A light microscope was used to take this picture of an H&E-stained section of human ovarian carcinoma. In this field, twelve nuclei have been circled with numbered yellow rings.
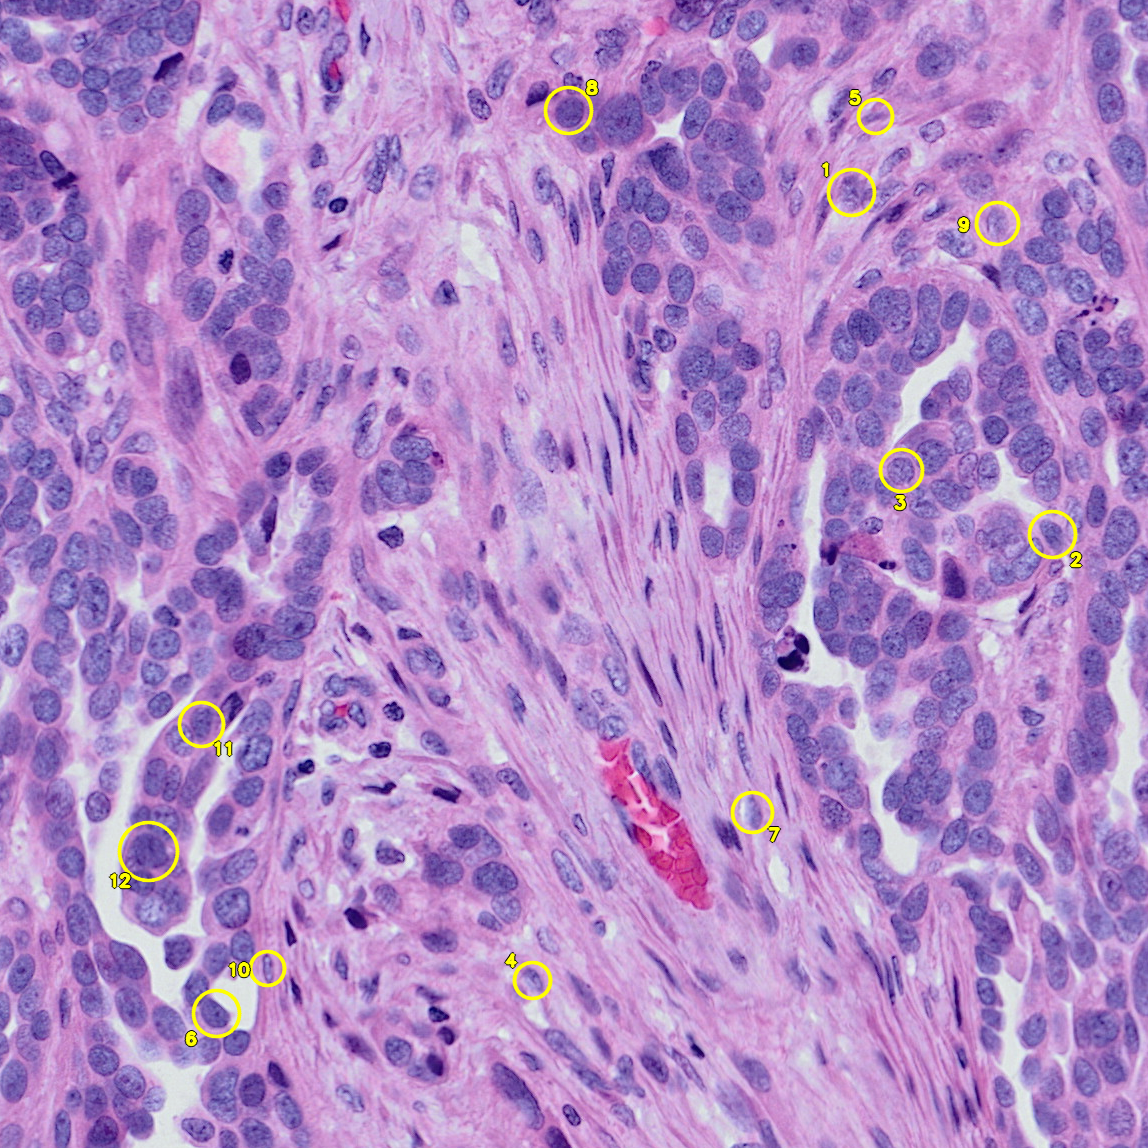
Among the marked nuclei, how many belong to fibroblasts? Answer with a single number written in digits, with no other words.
6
